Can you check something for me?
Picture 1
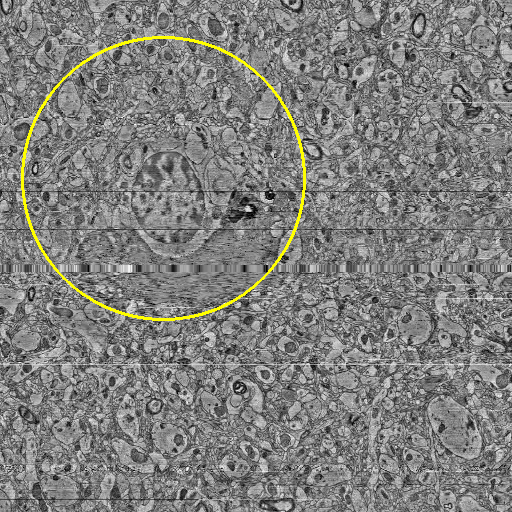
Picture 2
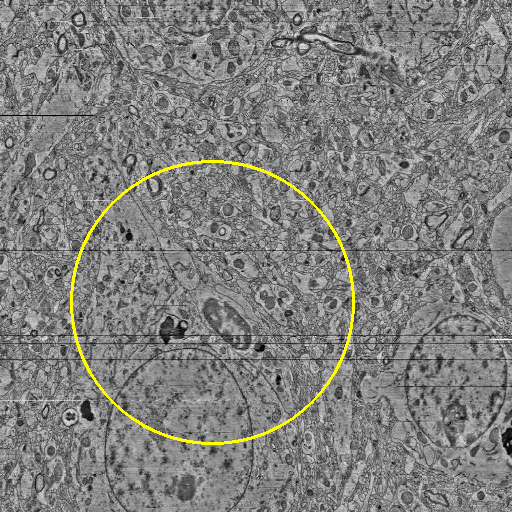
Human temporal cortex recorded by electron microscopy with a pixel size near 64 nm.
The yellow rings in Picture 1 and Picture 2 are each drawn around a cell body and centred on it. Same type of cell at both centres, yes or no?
yes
